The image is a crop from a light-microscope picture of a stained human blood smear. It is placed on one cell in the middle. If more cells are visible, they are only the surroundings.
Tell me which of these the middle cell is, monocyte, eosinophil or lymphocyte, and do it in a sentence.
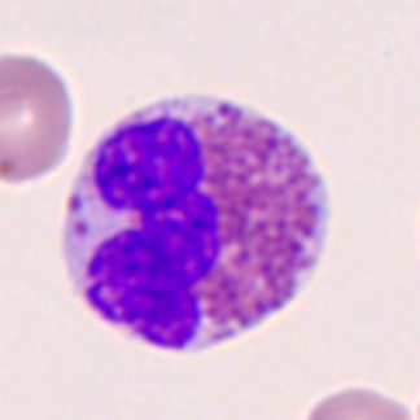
The cell the crop is centered on is an eosinophil.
